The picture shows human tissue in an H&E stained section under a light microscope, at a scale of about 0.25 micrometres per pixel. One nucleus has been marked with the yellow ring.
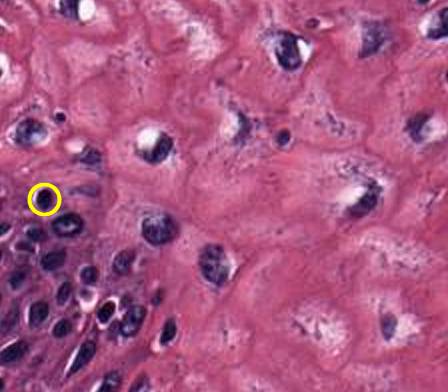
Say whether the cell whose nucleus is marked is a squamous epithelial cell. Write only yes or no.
no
